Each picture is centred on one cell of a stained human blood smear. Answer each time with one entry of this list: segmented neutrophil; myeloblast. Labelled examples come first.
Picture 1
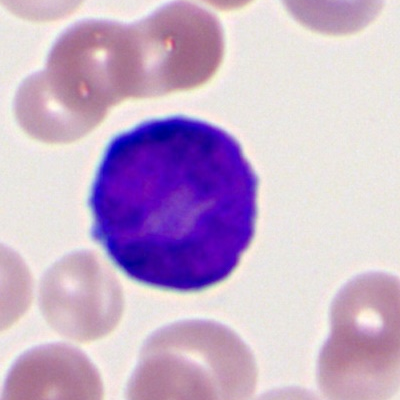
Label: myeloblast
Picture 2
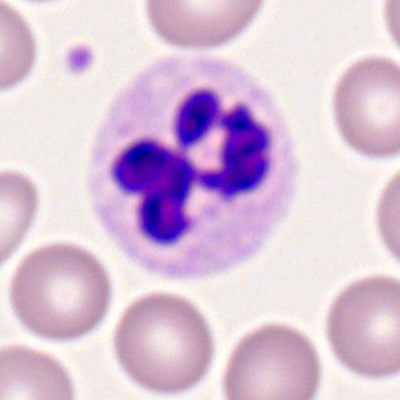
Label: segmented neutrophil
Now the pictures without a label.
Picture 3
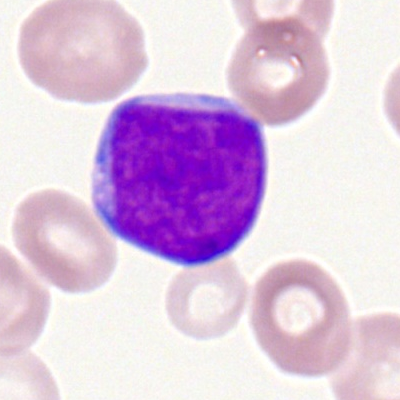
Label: myeloblast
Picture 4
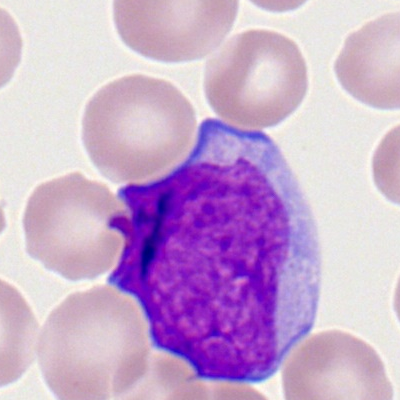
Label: myeloblast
